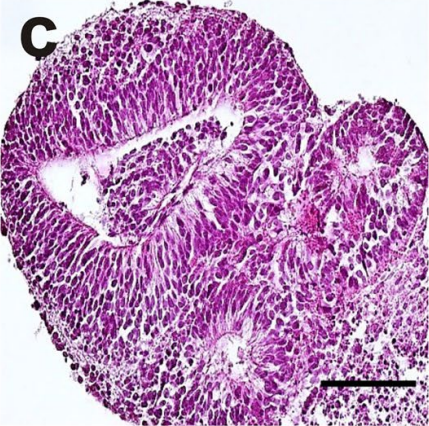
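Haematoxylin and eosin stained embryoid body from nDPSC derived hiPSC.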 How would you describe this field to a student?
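This section shows neural rosettes: elongated columnar cells with dark purple nuclei lined up radially around small central lumens. Several rosettes lie side by side, and a larger slit-like lumen at upper left is lined by a similar layer of tall, tightly packed cells.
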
